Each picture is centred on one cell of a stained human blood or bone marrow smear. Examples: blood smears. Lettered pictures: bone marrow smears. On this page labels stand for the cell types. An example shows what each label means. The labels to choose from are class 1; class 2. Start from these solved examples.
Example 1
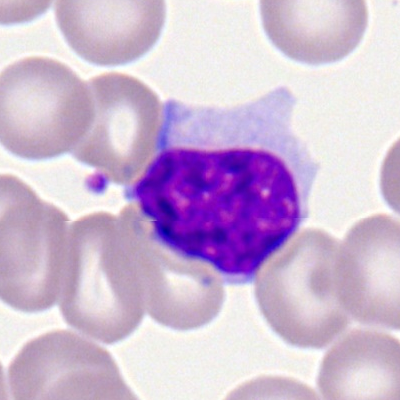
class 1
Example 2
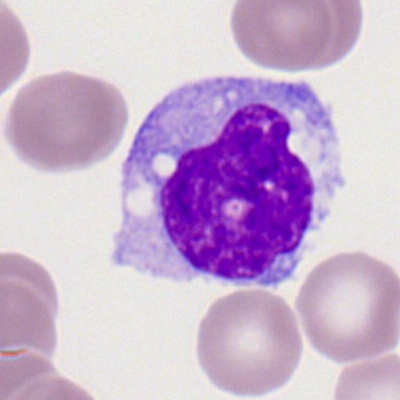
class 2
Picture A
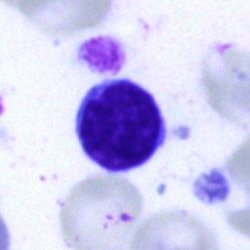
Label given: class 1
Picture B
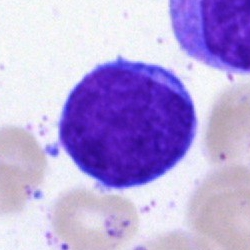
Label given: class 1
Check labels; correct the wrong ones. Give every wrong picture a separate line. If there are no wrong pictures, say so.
All labels are correct.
